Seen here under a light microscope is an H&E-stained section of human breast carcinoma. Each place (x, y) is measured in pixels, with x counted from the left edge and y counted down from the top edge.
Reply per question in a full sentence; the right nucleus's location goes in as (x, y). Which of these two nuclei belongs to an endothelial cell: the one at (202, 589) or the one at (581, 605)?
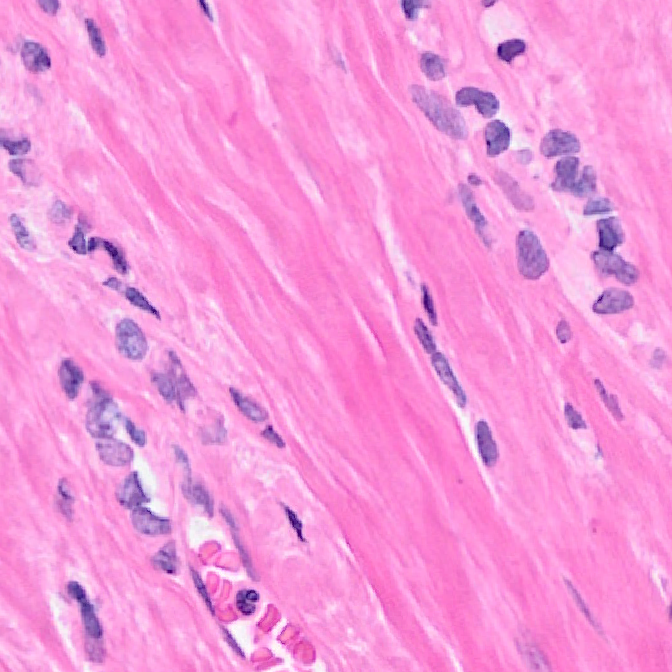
Answering which nucleus it is: the one at (202, 589), belonging to an endothelial cell.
